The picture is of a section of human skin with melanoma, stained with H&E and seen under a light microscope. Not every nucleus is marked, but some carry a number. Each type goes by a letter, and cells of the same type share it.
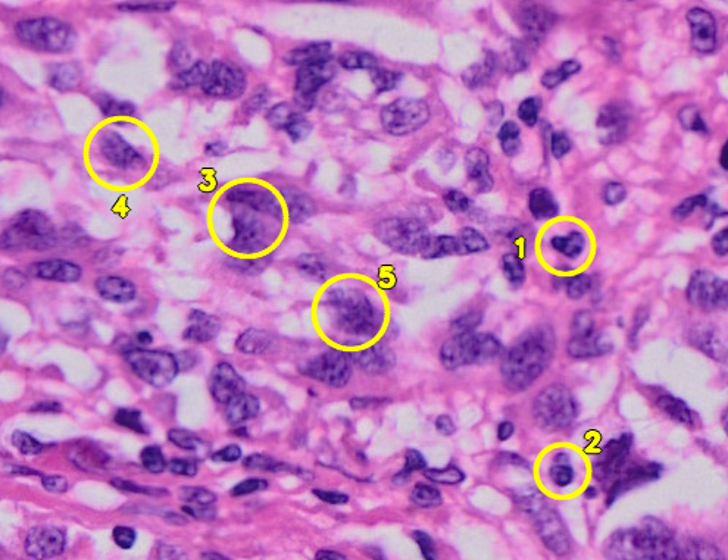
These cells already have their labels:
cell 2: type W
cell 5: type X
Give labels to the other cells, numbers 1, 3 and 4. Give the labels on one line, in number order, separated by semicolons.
type W; type X; type X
